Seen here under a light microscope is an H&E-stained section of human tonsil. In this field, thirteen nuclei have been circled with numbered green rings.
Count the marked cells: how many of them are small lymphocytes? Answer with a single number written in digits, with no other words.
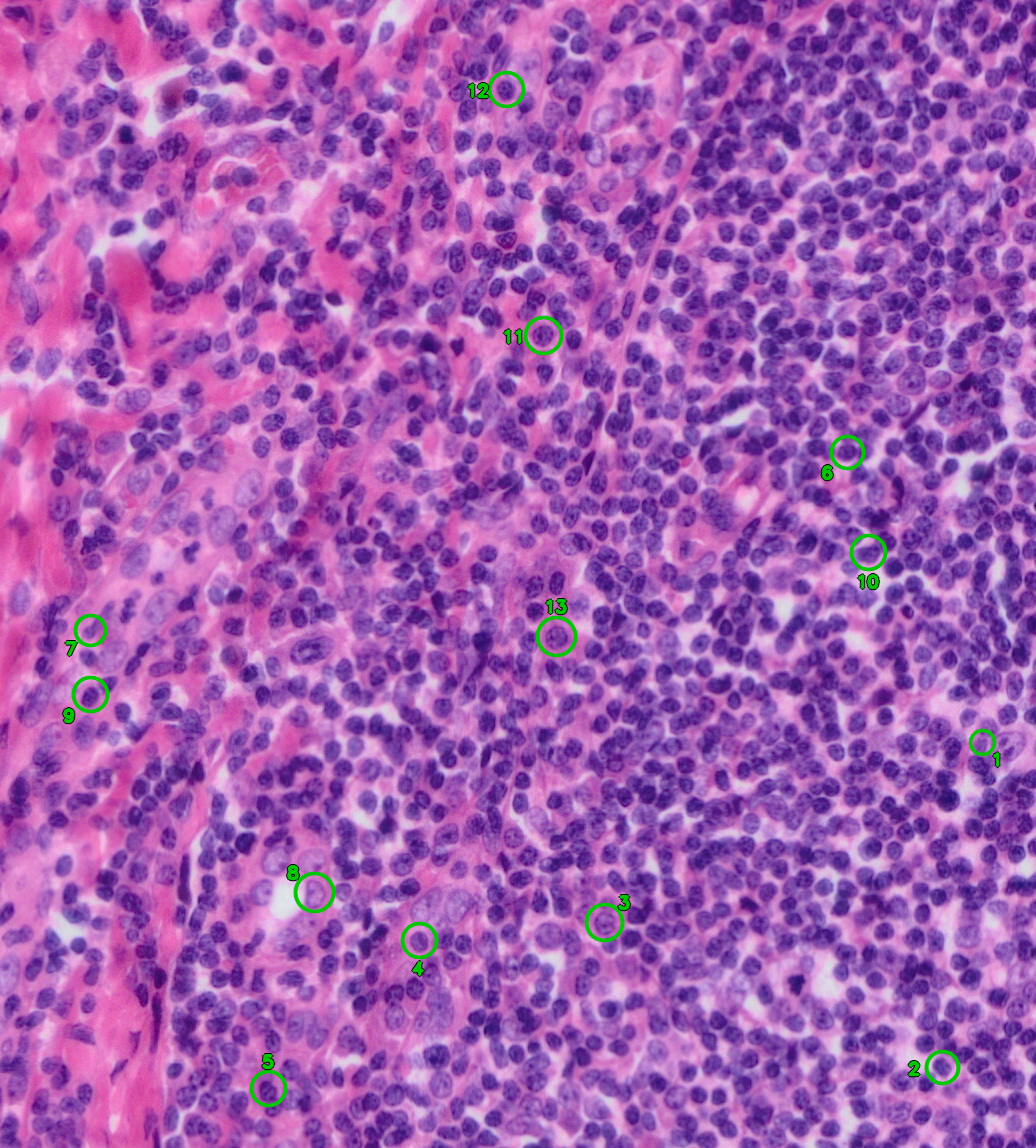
3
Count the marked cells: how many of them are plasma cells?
4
